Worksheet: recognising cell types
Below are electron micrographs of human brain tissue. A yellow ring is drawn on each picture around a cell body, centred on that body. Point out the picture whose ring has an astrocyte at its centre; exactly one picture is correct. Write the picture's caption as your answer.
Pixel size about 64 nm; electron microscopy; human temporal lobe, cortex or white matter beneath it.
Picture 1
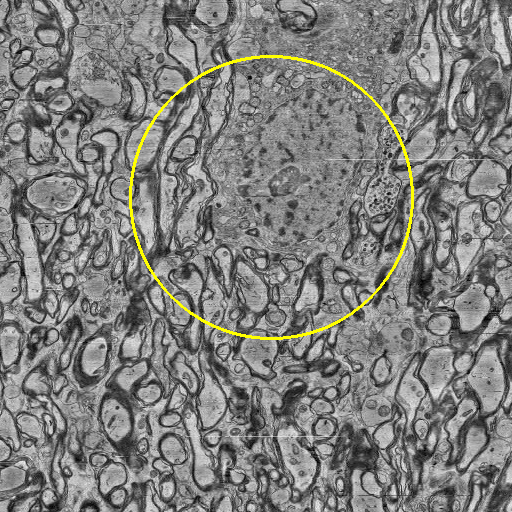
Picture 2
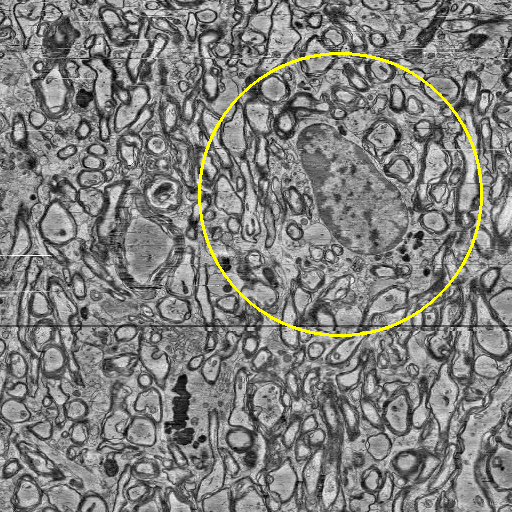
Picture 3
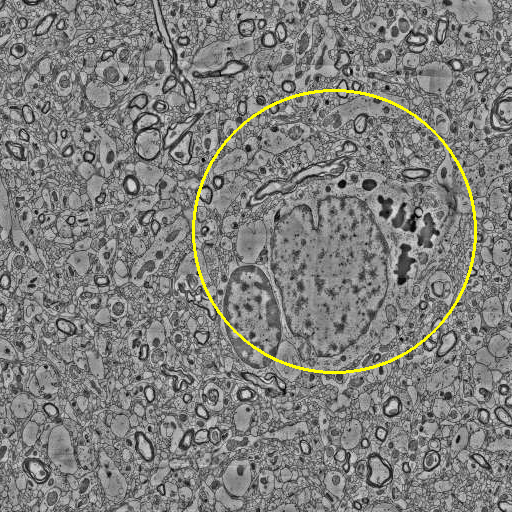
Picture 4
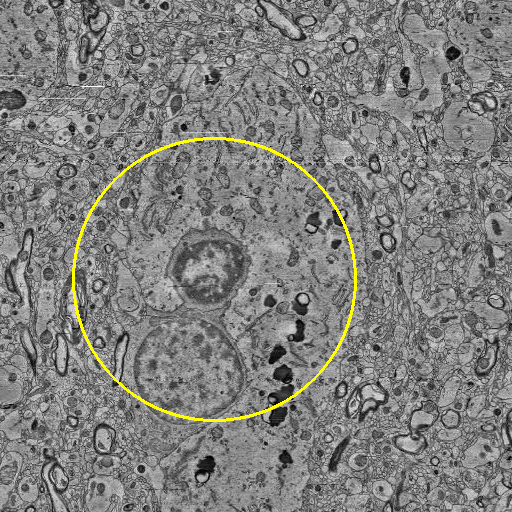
Picture 1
